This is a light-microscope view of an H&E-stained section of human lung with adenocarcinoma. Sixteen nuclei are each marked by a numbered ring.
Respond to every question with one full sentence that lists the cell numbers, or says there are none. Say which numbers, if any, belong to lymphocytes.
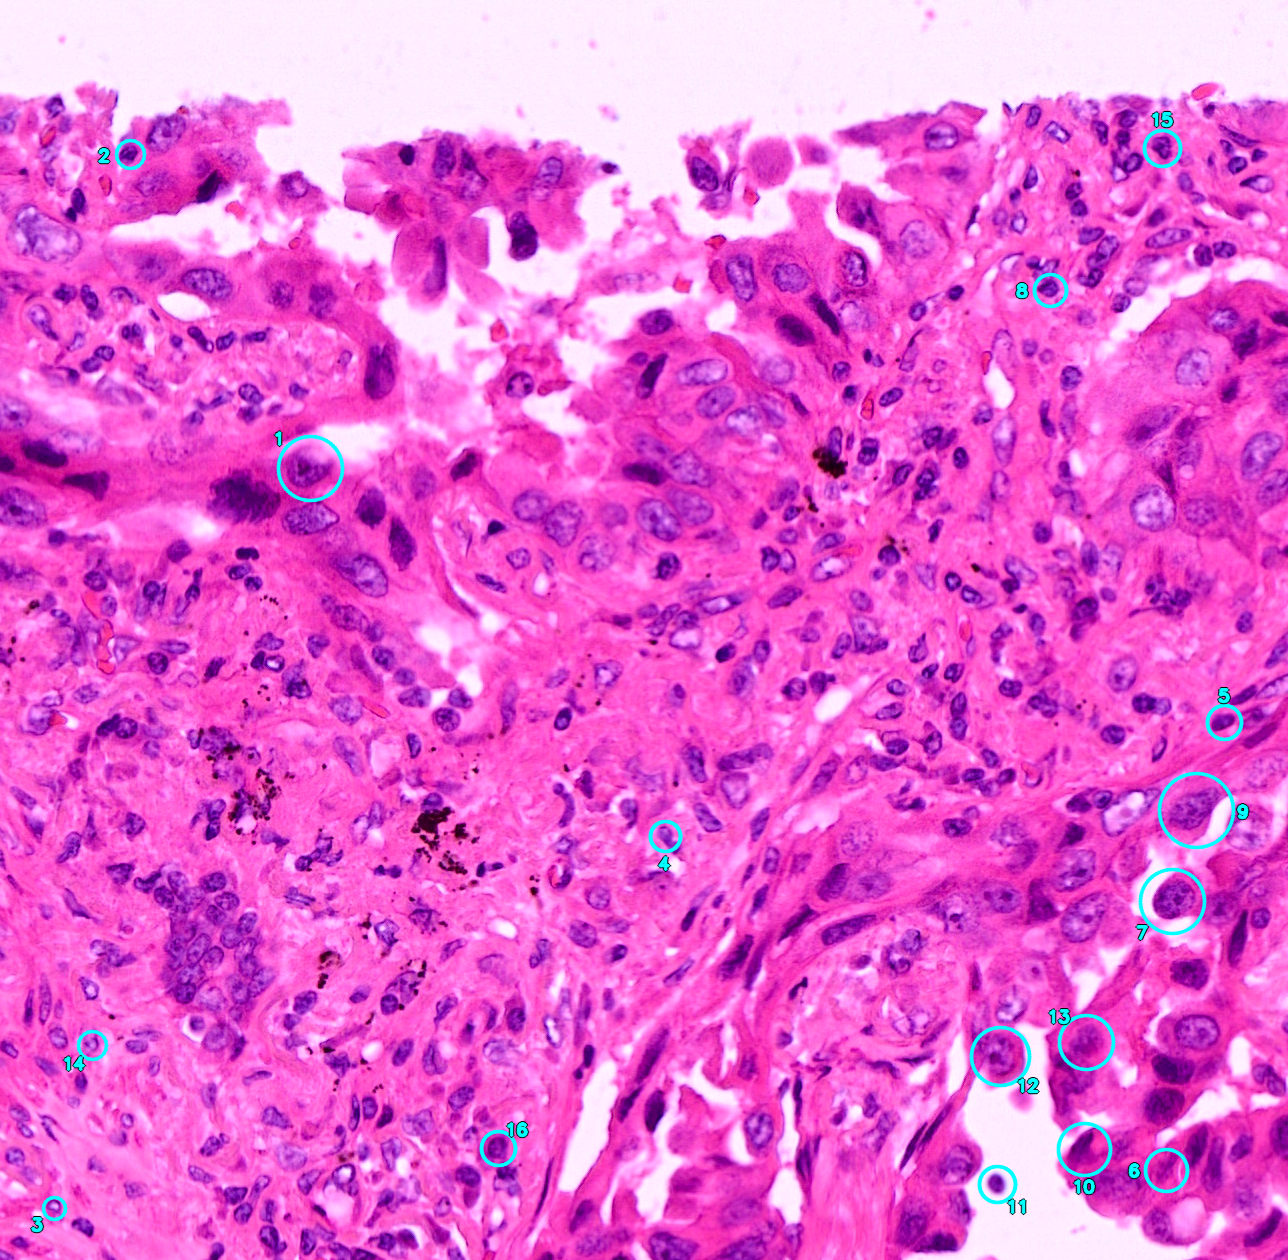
Here, the cells that carry numbers 2, 4, 5, 8 and 11 are lymphocytes.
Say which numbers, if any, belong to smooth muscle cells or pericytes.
The cells tagged 3 and 14 are smooth muscle cells or pericytes in this tissue section.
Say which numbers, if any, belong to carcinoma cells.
By cell type, the cells numbered 1, 6, 7, 9, 10, 12 and 13 are carcinoma cells.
